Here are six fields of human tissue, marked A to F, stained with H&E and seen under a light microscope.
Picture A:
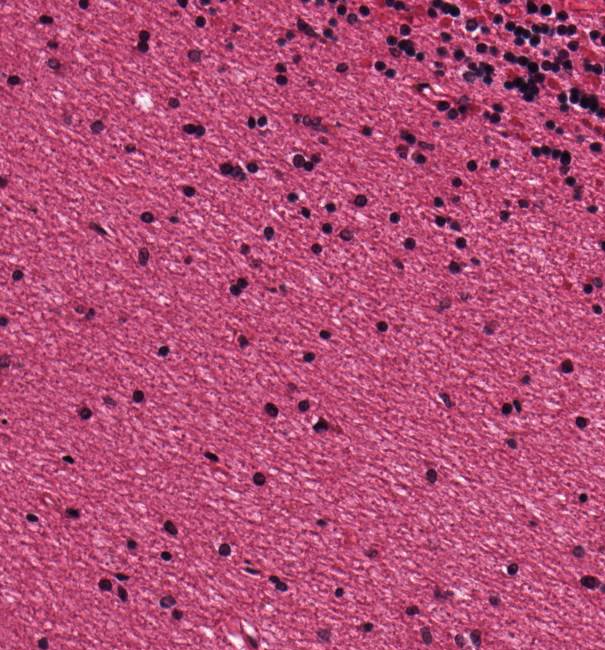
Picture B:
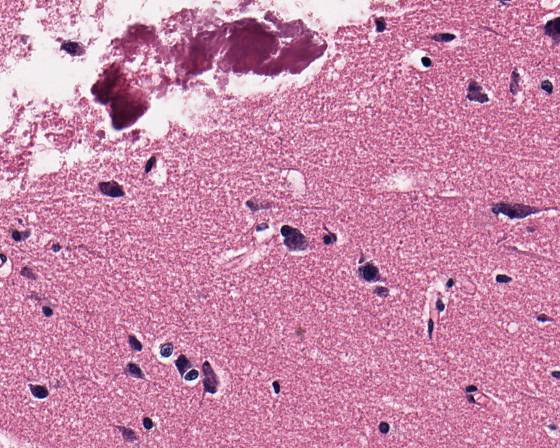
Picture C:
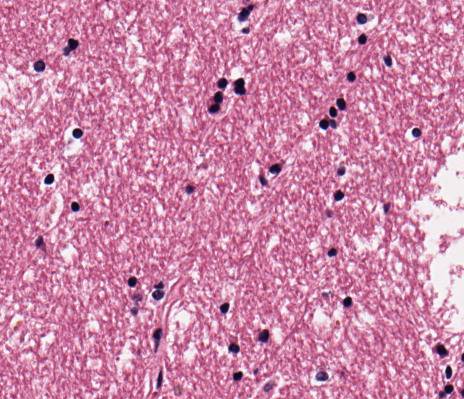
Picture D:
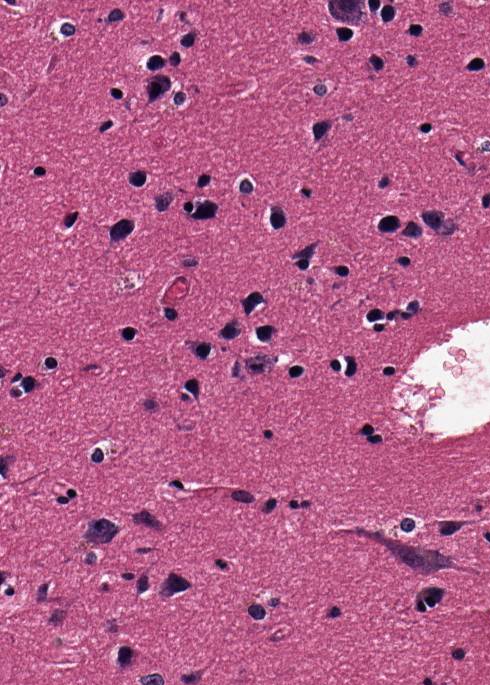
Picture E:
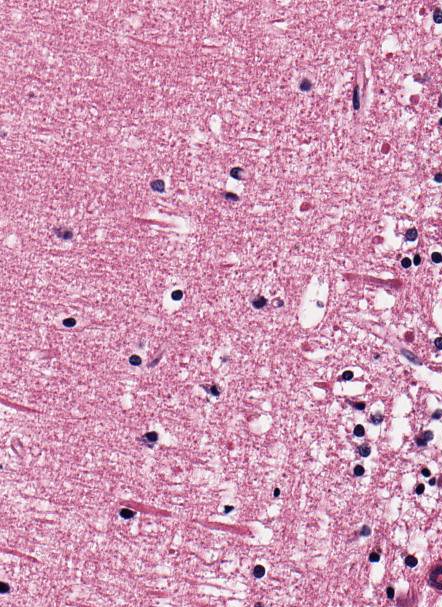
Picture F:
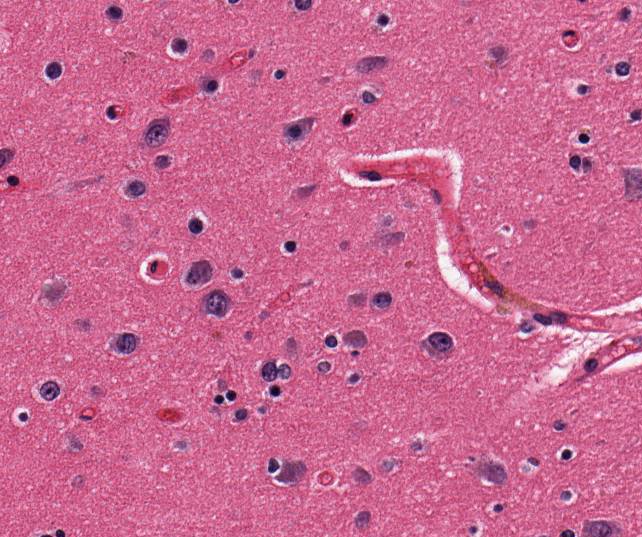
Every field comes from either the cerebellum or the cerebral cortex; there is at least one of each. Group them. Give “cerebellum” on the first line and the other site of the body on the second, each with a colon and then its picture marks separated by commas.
cerebellum: A, E
cerebral cortex: B, C, D, F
